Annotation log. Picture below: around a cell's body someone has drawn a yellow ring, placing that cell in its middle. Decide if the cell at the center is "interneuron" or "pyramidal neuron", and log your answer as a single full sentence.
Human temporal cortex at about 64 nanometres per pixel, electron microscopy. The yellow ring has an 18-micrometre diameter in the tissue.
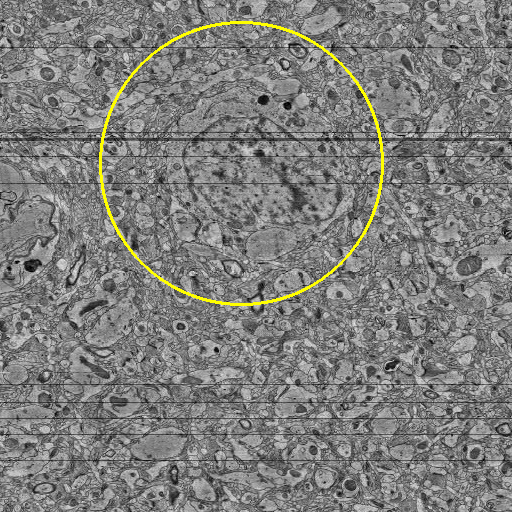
My entry records an interneuron as the cell sitting at the center of the yellow ring.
